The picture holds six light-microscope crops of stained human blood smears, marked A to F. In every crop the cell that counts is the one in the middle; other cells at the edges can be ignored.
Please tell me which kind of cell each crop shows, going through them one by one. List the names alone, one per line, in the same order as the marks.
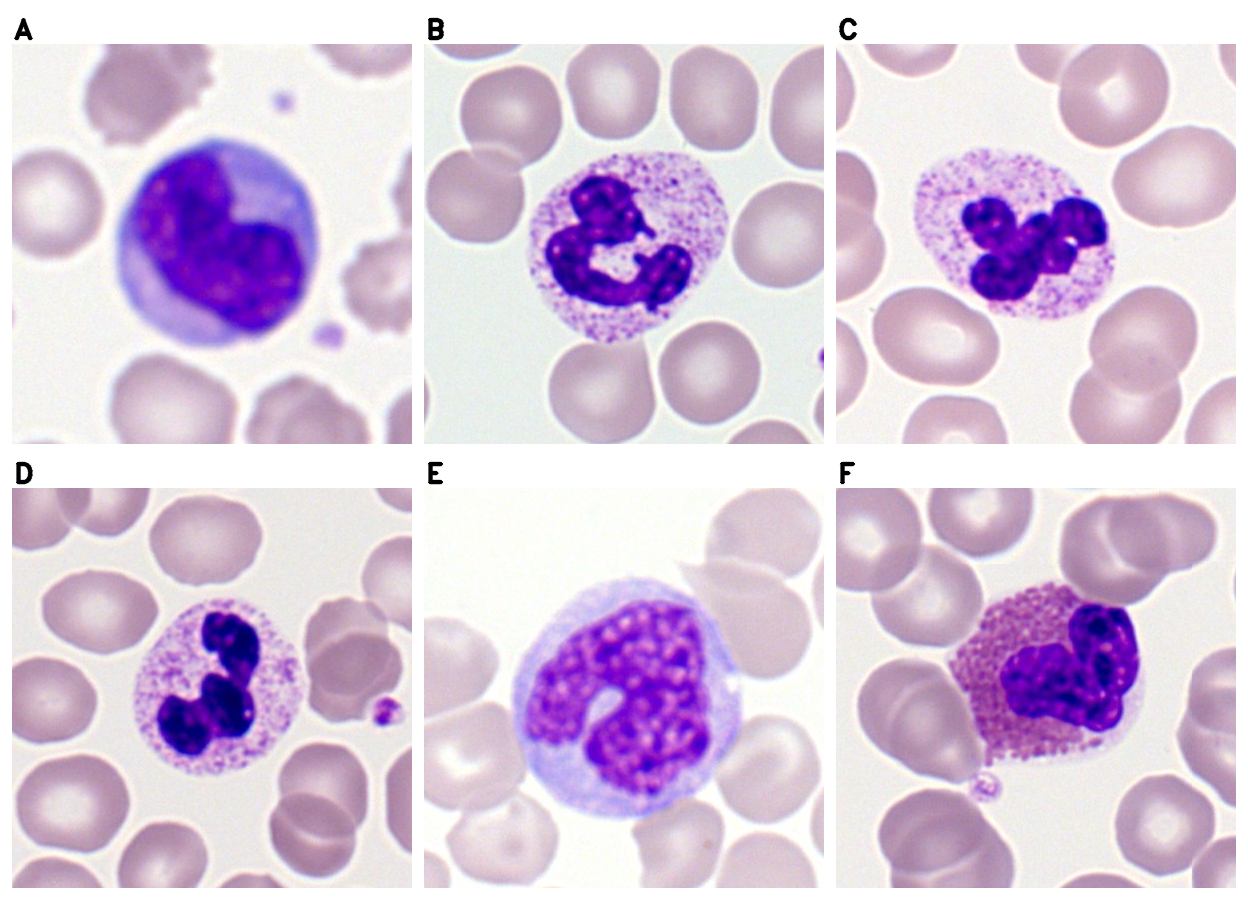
monocyte
segmented neutrophil
segmented neutrophil
segmented neutrophil
monocyte
eosinophil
